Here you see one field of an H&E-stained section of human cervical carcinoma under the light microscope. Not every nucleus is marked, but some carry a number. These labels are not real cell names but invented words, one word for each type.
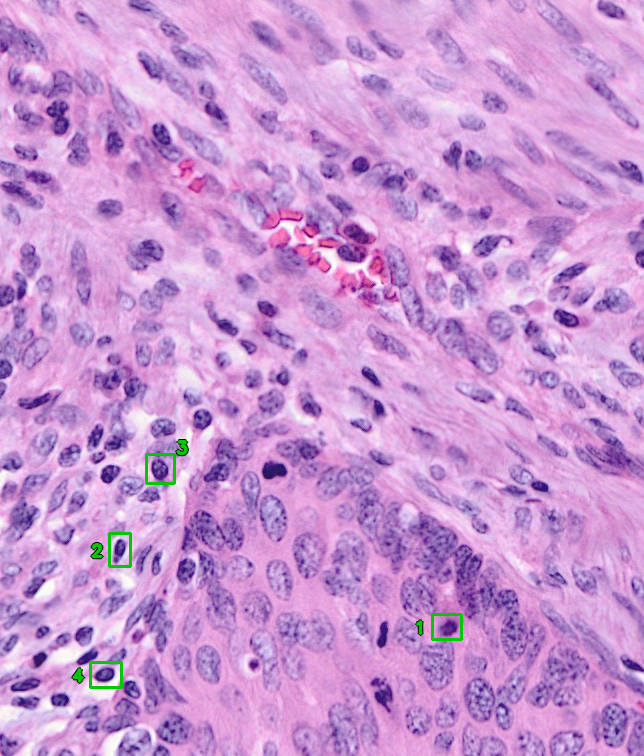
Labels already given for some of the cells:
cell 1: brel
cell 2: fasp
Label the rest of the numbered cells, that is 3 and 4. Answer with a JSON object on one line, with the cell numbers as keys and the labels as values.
{"3": "fasp", "4": "fasp"}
